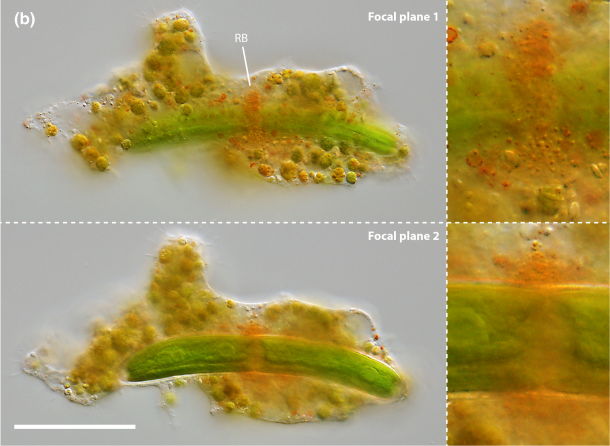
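An irregular, lobed amoeba lies wrapped around an elongate green algal cell, shown at two focal depths. The amoeba's cytoplasm is crowded with yellow-brown rounded inclusions of various sizes. Across the middle of the alga runs a narrow band of orange-red granules, which the enlarged views on the right show as a dense strip of tiny red dots on the algal wall. In the lower focal plane the green alga is sharper, and its outline looks continuous beneath the band.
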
